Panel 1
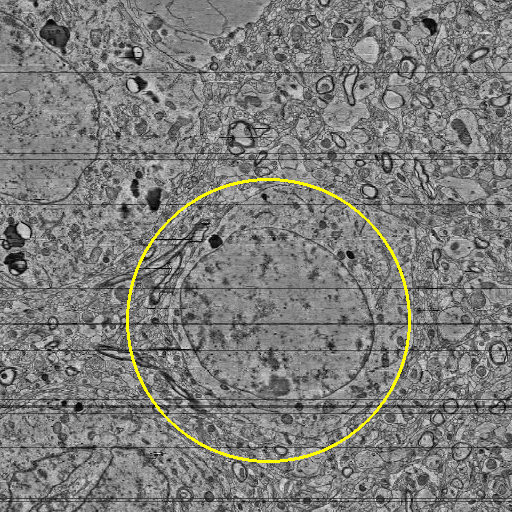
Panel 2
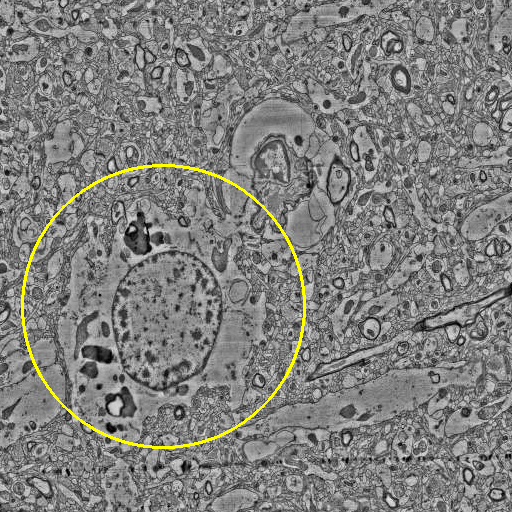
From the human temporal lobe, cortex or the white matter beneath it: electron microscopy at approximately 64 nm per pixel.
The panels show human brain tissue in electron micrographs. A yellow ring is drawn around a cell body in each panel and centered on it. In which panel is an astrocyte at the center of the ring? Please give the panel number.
2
